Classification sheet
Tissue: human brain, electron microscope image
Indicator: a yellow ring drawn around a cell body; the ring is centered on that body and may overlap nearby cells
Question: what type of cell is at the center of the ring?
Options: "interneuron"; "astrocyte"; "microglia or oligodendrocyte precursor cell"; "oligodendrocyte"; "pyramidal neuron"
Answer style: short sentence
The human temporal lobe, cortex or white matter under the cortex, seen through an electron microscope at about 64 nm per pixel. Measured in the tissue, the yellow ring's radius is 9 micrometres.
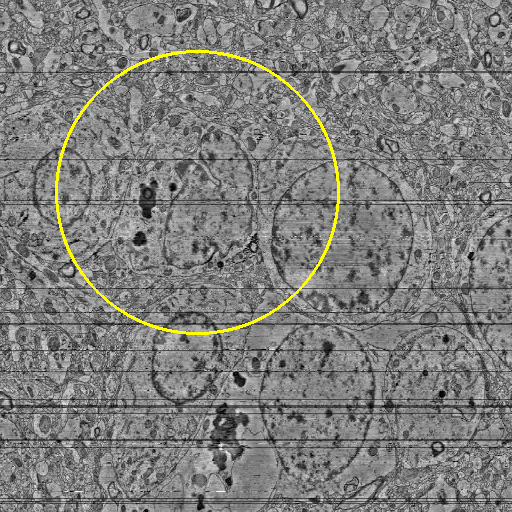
At the ring's center is an interneuron.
